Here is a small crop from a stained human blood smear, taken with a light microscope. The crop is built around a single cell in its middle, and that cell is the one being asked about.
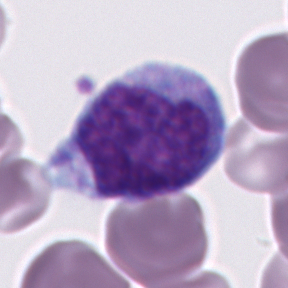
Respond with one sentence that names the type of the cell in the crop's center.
Located at the centre of the crop is a monocyte.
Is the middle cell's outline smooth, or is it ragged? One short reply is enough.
The periphery of this cell is uneven, with ragged portions or projections.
